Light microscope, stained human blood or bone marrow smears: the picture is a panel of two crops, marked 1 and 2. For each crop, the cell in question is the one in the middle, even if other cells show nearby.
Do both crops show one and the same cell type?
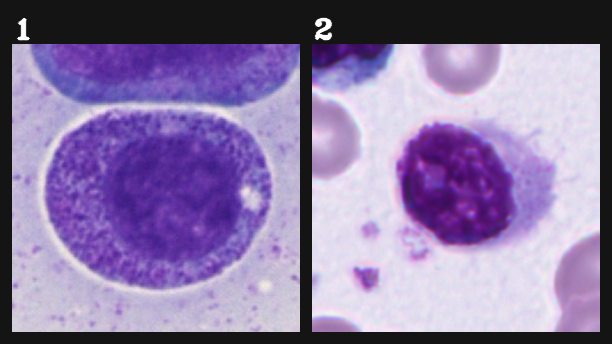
no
